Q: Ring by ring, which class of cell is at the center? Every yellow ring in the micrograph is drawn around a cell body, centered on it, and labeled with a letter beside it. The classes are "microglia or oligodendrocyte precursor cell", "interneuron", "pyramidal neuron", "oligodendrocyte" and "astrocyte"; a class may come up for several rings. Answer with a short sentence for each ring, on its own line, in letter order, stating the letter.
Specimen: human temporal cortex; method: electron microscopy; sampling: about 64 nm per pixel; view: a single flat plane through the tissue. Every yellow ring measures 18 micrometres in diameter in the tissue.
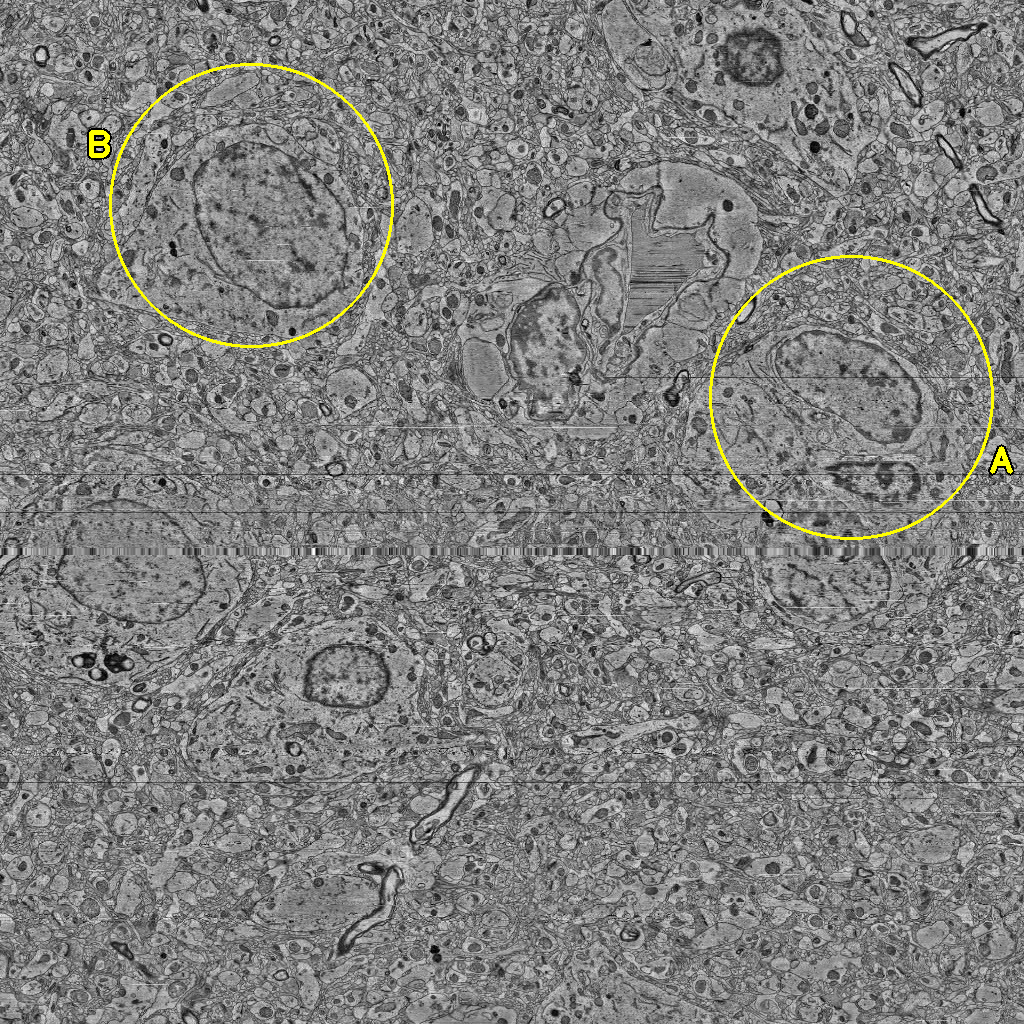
Ring A holds a microglial cell or oligodendrocyte precursor cell at its center.
Ring B holds a pyramidal neuron at its center.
